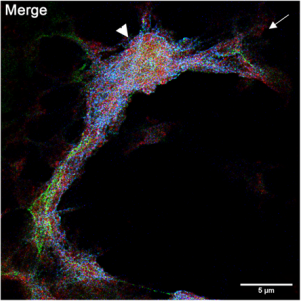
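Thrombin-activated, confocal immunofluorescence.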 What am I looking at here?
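This is a large aggregate of platelets forming a continuous band of spread cell material across the field. The blue, red and green labels overlap throughout, giving a speckled mixed-colour appearance, densest near the upper centre. Fine web-like, fibrous extensions reach out from the mass toward the edges. Individual cells can hardly be separated within the band, and a dark open space lies beneath it.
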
